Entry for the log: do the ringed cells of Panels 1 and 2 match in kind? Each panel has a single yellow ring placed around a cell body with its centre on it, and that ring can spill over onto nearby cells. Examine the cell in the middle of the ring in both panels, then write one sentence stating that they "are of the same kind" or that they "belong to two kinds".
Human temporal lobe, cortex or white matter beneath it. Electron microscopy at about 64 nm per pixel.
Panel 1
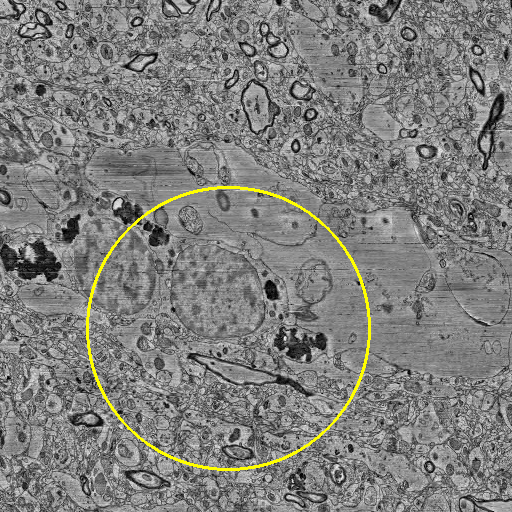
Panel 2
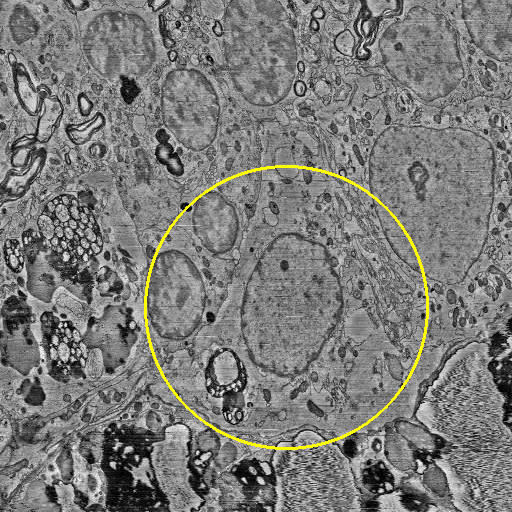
The centre cell of Panel 1's ring and that of Panel 2's ring belong to two kinds.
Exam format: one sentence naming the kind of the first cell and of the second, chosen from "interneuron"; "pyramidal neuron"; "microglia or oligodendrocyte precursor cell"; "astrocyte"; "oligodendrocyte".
The first picture's cell is an oligodendrocyte, and the second picture's cell is an astrocyte.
